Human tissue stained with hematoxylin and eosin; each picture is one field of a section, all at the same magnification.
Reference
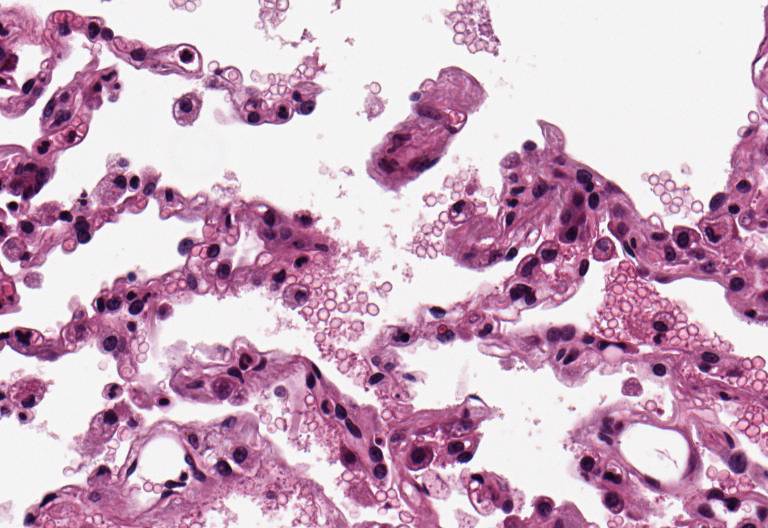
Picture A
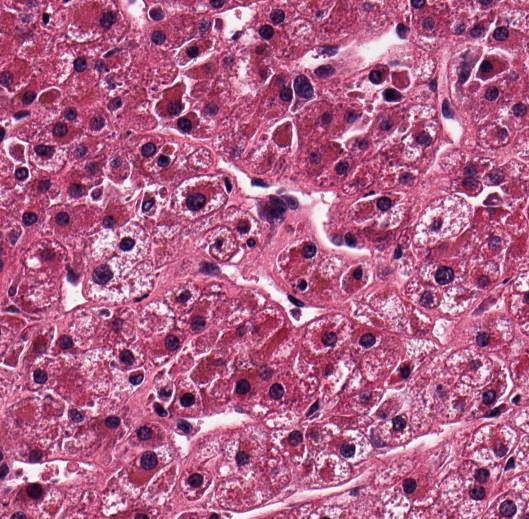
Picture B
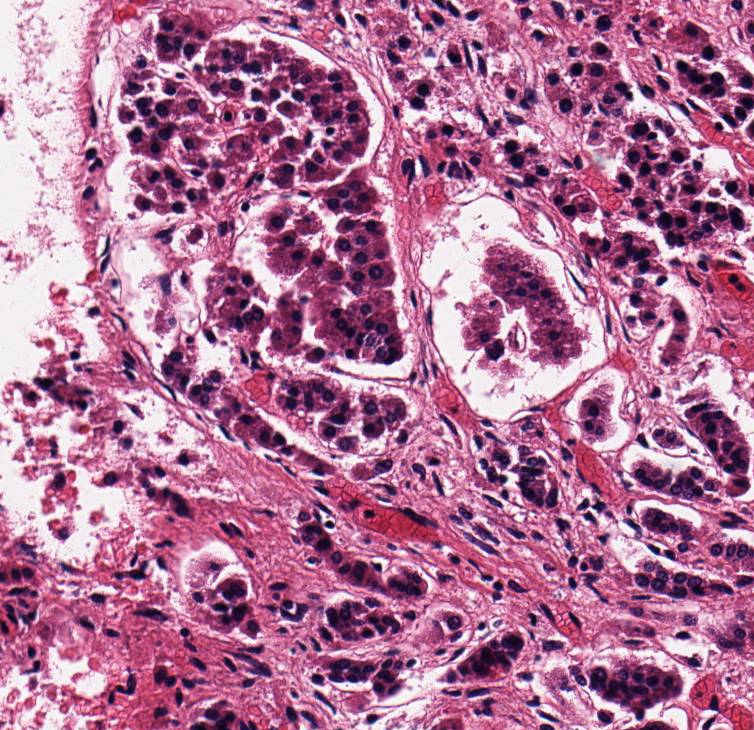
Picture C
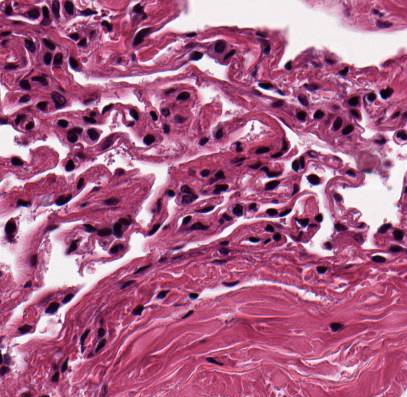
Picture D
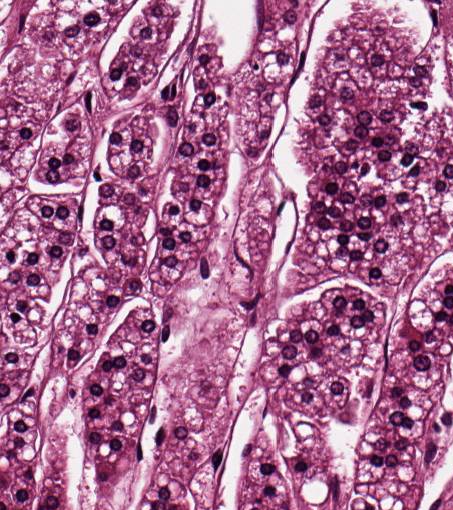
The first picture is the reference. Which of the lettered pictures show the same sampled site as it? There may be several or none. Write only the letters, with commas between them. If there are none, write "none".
C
